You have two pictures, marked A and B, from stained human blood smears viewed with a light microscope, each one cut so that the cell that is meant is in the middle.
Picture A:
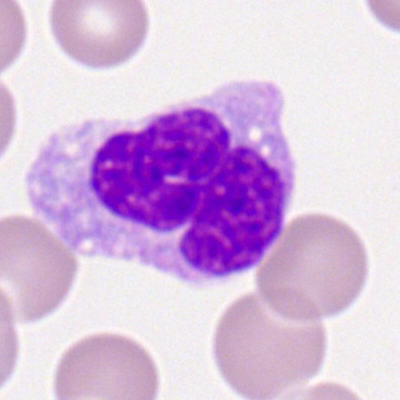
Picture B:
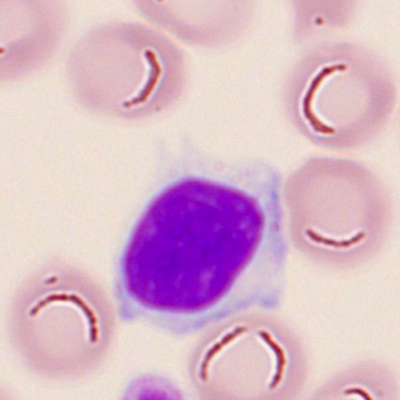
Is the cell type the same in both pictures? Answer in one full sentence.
No; the cell in picture A is a monocyte, while the one in picture B is a lymphocyte.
